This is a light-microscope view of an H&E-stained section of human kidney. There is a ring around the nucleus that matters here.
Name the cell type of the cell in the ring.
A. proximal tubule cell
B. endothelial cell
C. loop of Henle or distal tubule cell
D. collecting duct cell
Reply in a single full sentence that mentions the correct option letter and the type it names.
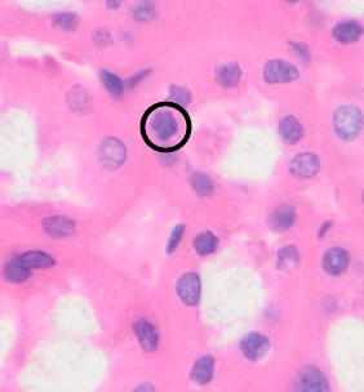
The correct response is option C: the cell in the ring is a loop of Henle or distal tubule cell.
